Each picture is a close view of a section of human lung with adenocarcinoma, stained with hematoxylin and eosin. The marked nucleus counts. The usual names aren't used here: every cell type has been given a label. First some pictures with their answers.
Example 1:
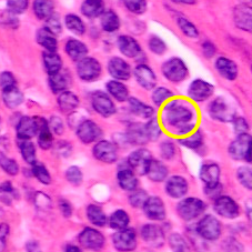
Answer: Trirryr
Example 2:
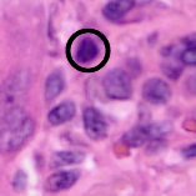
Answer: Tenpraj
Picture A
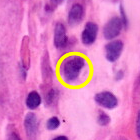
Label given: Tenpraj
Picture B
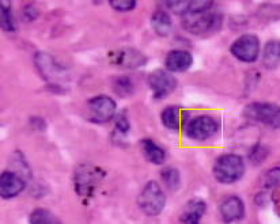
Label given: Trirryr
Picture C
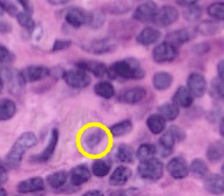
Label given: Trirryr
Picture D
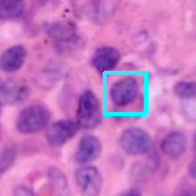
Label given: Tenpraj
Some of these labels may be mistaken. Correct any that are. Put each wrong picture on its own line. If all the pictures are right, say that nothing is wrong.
Every label is right.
